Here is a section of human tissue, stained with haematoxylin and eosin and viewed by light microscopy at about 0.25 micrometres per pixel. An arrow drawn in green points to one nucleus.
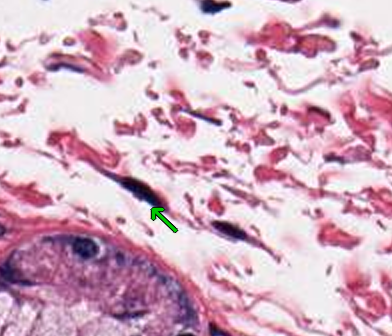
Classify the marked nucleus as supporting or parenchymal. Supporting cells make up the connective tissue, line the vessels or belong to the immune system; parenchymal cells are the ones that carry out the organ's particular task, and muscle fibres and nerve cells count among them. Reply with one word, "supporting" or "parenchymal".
supporting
